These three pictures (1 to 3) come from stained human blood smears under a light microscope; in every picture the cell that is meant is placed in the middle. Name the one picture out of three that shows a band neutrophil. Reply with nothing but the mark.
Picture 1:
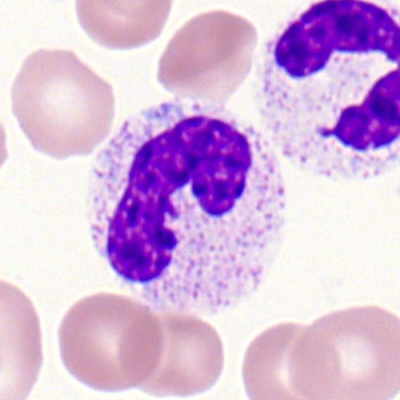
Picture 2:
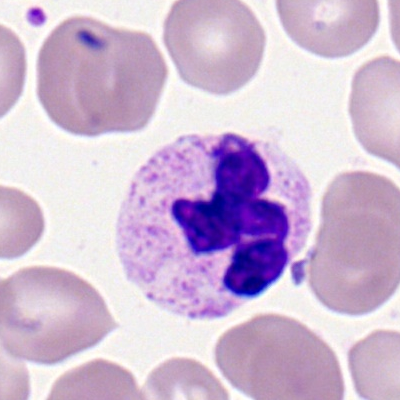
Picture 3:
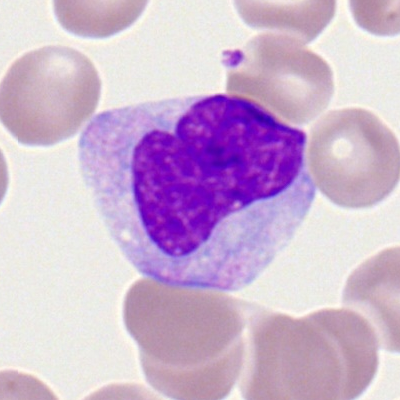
1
